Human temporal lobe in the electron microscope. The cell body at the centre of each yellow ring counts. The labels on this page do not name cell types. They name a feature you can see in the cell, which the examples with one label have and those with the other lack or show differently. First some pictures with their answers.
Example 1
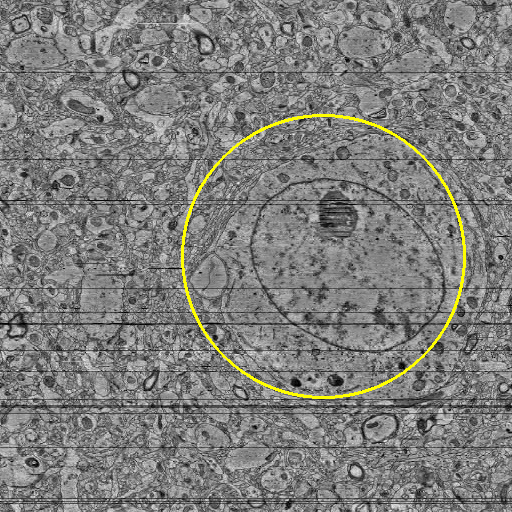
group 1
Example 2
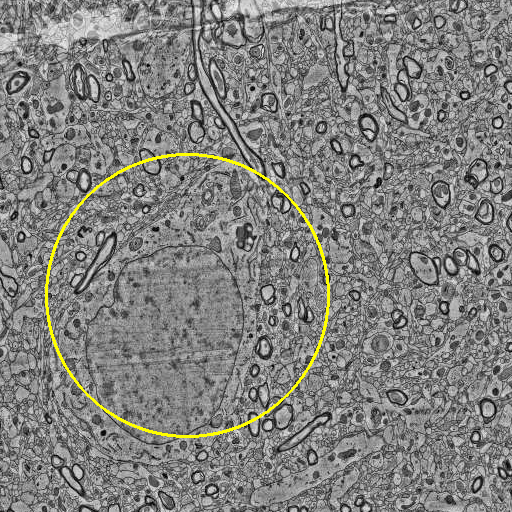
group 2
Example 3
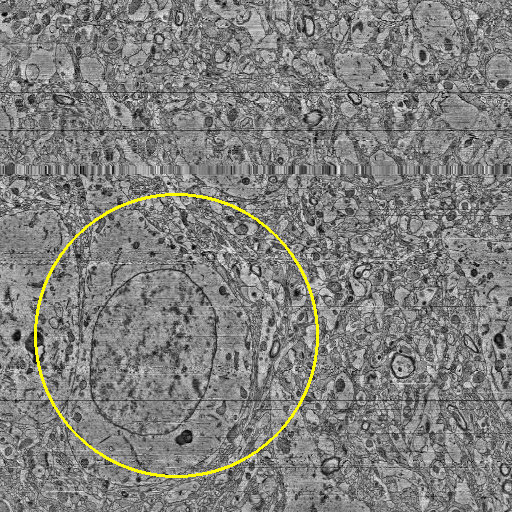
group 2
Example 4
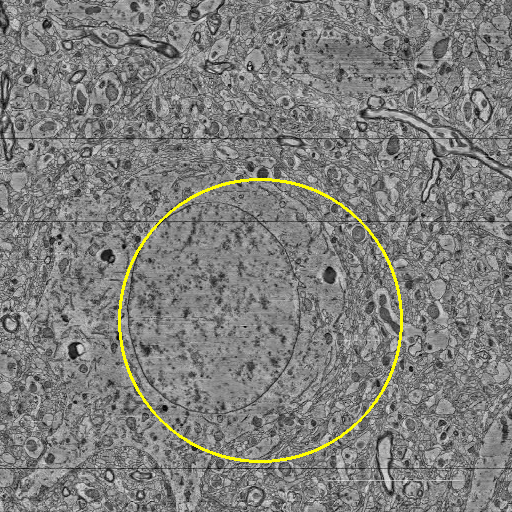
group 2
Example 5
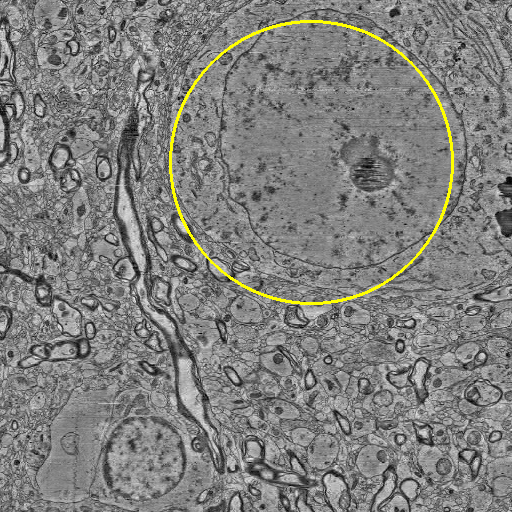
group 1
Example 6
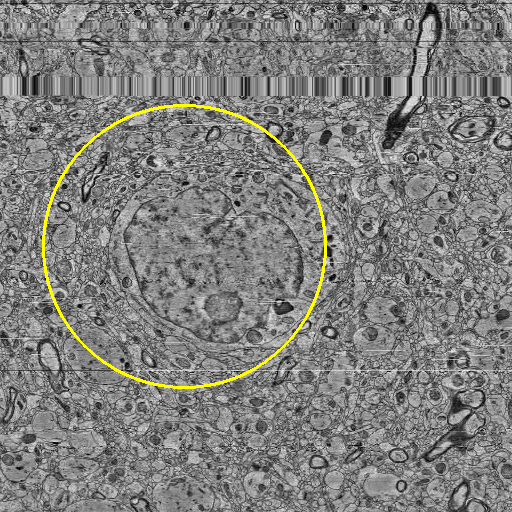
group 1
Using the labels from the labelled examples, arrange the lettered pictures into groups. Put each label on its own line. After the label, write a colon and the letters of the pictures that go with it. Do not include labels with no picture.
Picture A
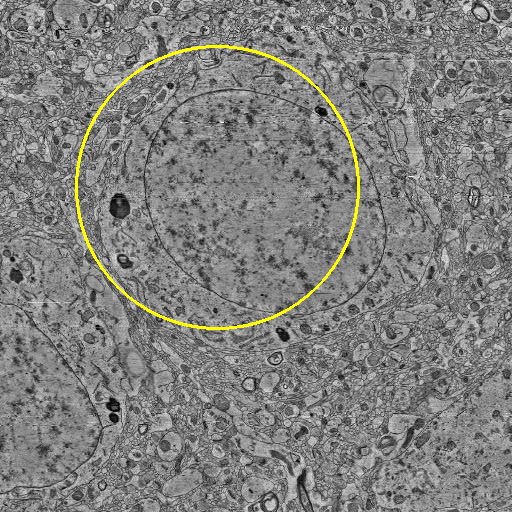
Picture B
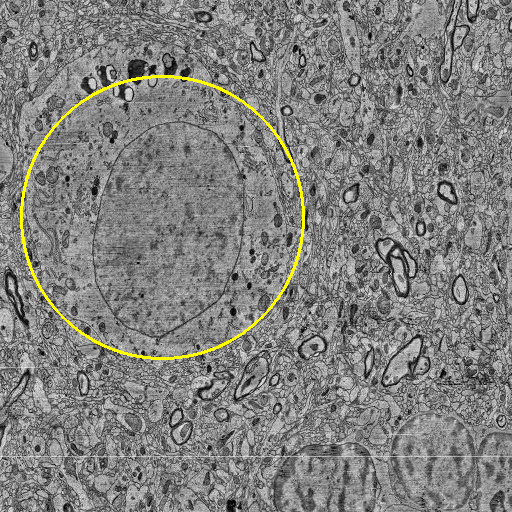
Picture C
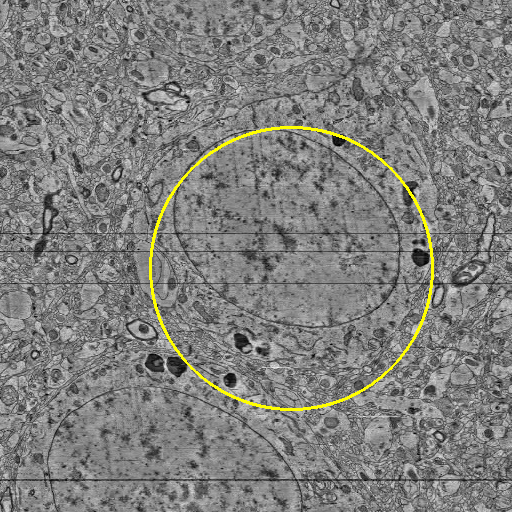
group 2: A, B, C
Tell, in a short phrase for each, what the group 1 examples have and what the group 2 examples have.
Seen in group 1: nucleolus seen; seen in group 2: no nucleolus seen.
